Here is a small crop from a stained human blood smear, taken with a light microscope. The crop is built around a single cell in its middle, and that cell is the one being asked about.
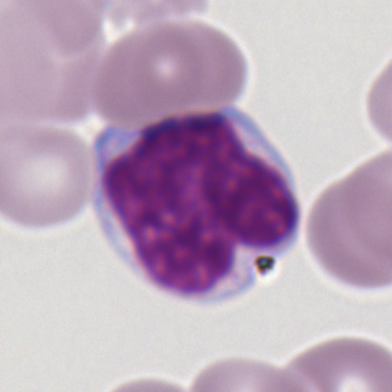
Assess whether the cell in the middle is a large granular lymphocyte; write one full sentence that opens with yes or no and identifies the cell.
Yes, the central element of the crop is a large granular lymphocyte.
